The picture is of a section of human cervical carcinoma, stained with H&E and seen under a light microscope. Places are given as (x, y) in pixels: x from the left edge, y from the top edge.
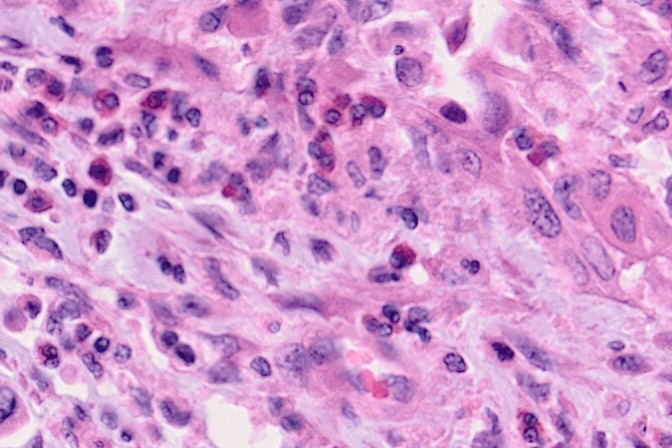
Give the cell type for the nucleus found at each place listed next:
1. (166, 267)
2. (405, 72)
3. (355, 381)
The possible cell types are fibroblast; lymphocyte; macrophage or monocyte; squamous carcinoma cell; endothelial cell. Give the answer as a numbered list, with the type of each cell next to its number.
1. lymphocyte
2. macrophage or monocyte
3. endothelial cell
